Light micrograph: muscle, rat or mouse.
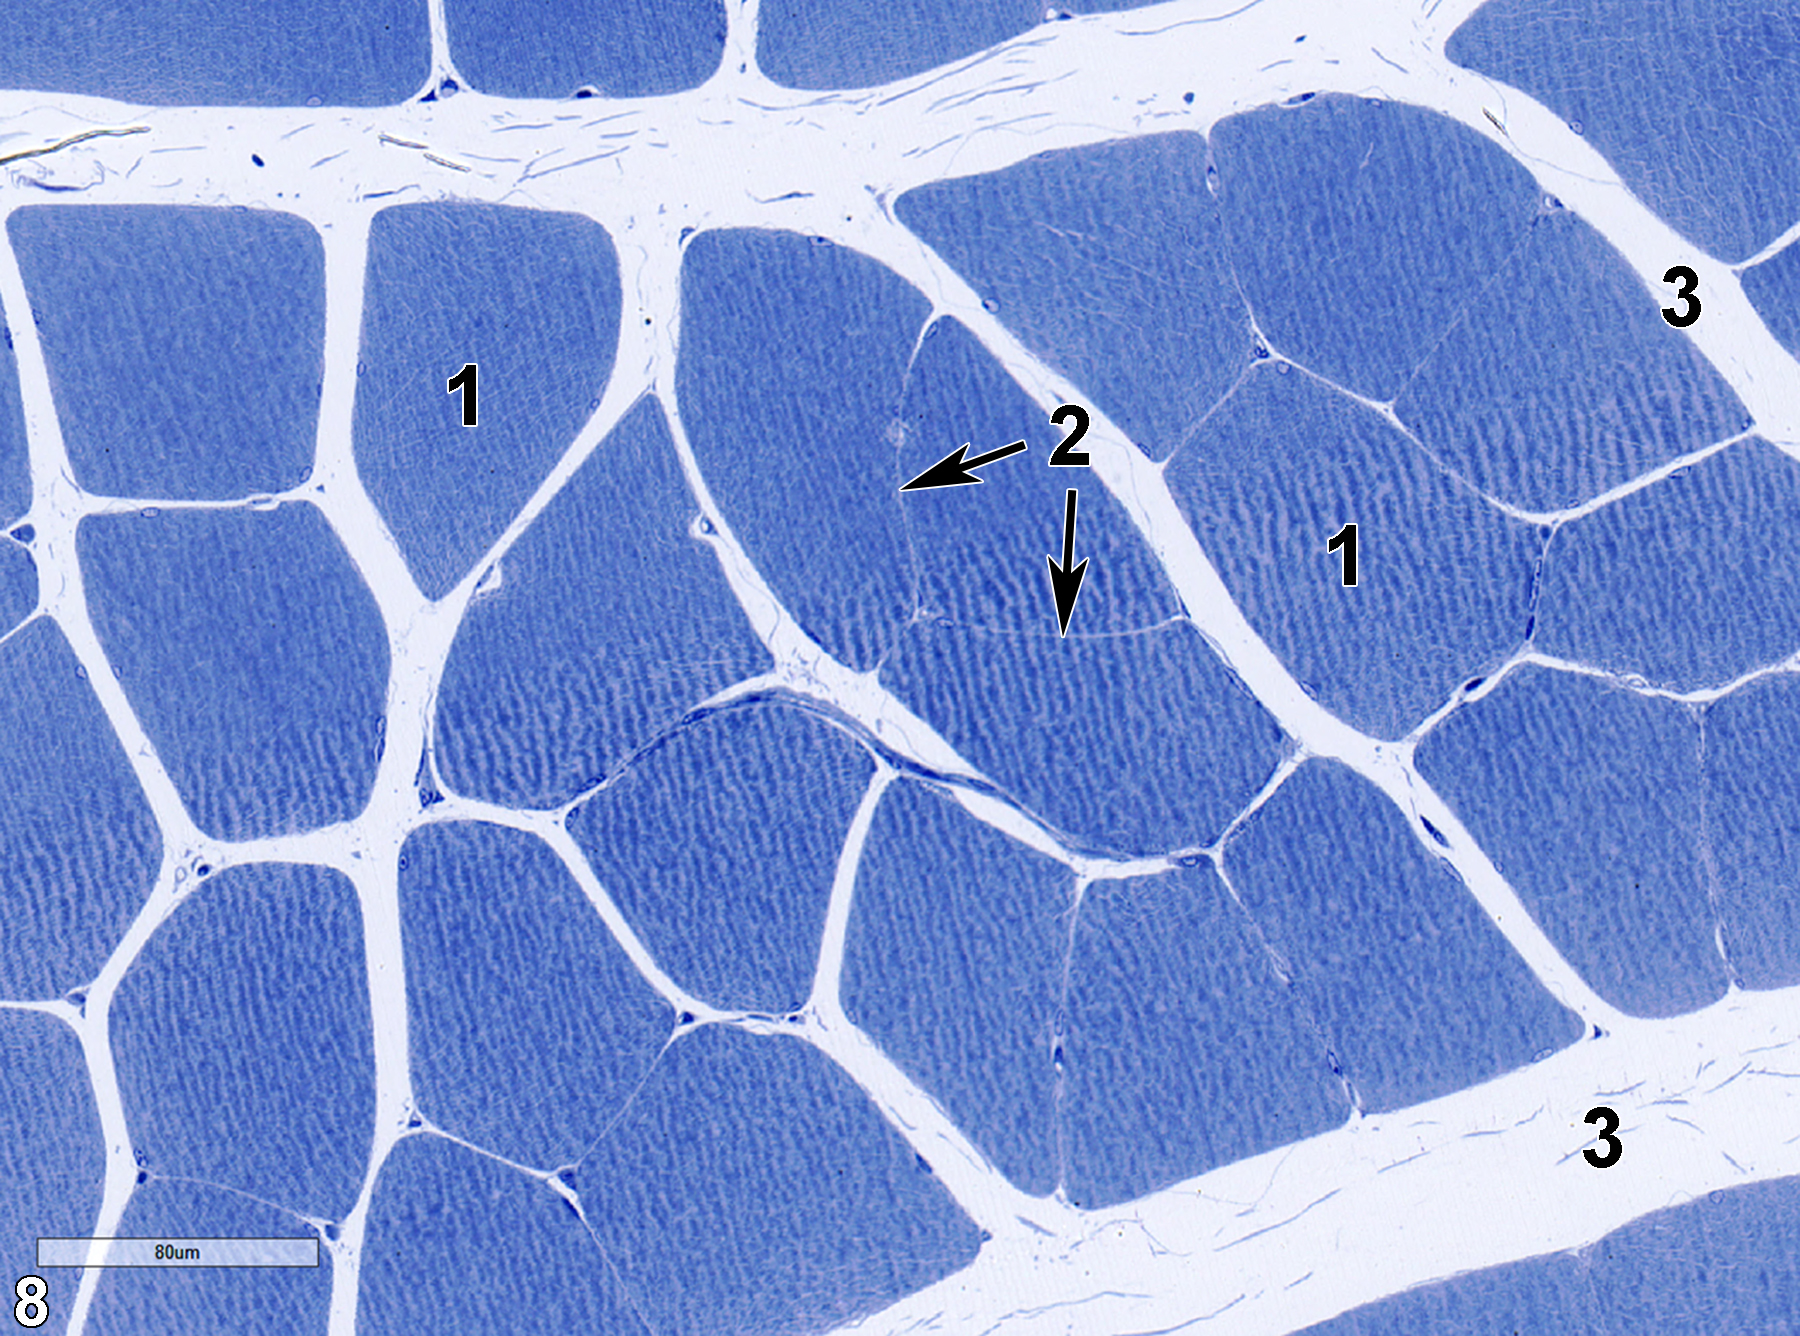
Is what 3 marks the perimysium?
Yes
